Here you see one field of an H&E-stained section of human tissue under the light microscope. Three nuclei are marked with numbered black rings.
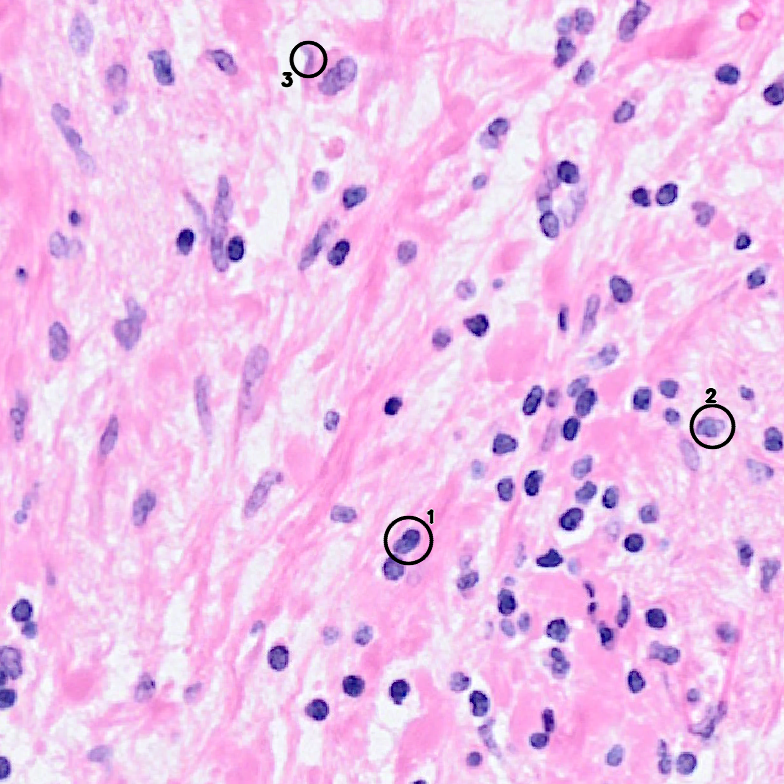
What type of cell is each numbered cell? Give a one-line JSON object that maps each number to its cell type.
{"1": "lymphocyte", "2": "lymphocyte", "3": "fibroblast"}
